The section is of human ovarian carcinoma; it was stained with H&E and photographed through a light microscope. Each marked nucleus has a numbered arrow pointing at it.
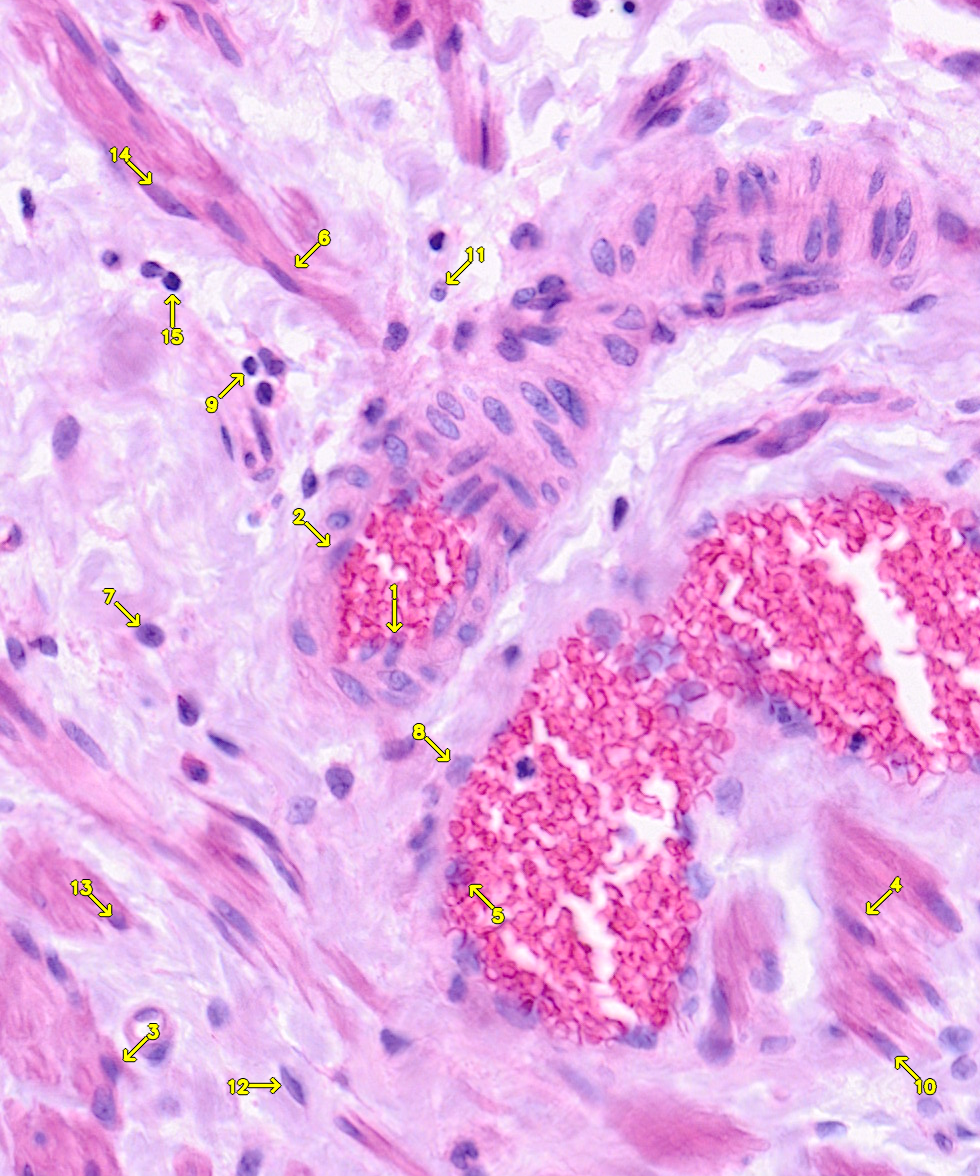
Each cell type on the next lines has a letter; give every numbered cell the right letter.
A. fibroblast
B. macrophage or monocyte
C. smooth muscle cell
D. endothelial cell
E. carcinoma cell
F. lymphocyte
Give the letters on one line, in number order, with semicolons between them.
D; D; C; C; D; C; A; D; F; C; F; A; C; C; F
